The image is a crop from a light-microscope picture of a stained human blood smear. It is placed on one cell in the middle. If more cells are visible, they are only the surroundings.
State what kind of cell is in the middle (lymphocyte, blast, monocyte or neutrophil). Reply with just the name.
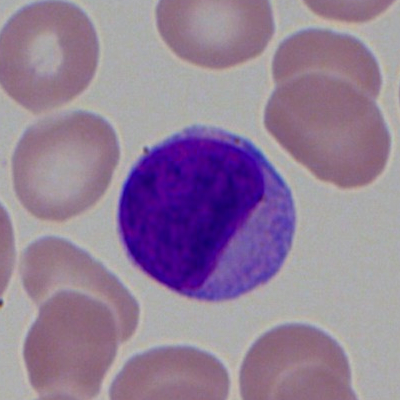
blast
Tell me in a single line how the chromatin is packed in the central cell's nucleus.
Answer: the chromatin in this nucleus is coarsely clumped.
